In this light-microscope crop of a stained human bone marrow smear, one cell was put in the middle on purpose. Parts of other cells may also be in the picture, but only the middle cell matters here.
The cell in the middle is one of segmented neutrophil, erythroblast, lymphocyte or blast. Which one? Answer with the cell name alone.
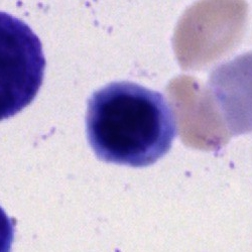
erythroblast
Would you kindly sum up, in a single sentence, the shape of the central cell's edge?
Smooth outline, no projections: that is the whole story of its edge.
